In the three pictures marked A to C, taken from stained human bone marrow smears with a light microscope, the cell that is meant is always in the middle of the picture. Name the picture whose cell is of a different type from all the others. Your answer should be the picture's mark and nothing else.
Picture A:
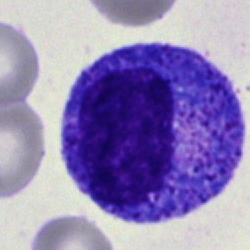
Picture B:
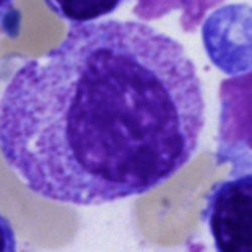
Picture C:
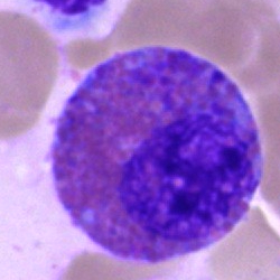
C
